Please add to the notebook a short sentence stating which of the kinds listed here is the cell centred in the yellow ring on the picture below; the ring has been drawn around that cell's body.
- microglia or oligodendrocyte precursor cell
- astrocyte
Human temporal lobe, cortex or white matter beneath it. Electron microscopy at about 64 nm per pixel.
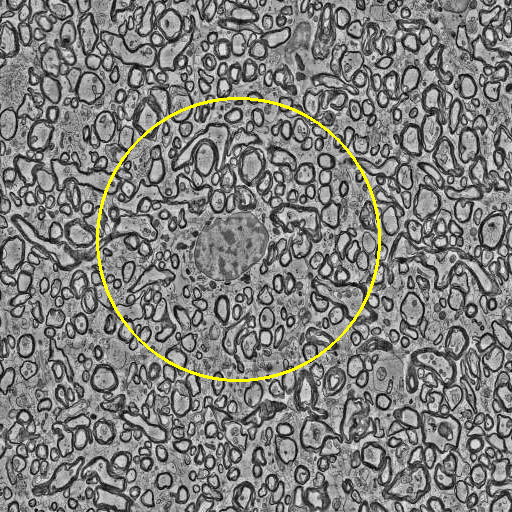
The cell centred in the yellow ring is a microglial cell or oligodendrocyte precursor cell.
